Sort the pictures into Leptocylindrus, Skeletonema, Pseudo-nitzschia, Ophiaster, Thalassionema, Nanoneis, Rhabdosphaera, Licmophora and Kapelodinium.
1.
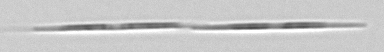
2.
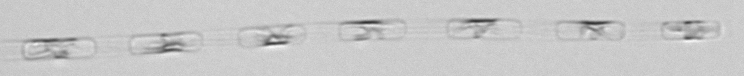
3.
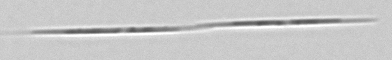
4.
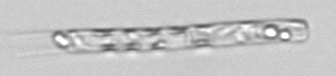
Pseudo-nitzschia: 1, 3
Skeletonema: 2
Leptocylindrus: 4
